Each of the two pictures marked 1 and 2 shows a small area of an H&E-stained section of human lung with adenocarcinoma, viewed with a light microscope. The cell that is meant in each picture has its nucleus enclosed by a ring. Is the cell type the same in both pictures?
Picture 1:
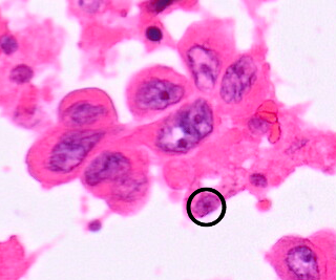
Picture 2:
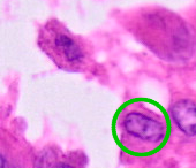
yes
